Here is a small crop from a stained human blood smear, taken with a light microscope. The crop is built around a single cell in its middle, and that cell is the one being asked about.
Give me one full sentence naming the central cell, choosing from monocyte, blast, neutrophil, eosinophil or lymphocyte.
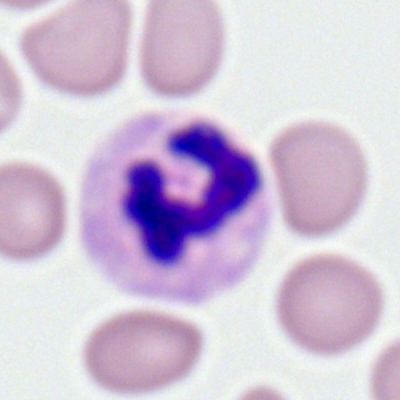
For this crop, the central cell is a neutrophil.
